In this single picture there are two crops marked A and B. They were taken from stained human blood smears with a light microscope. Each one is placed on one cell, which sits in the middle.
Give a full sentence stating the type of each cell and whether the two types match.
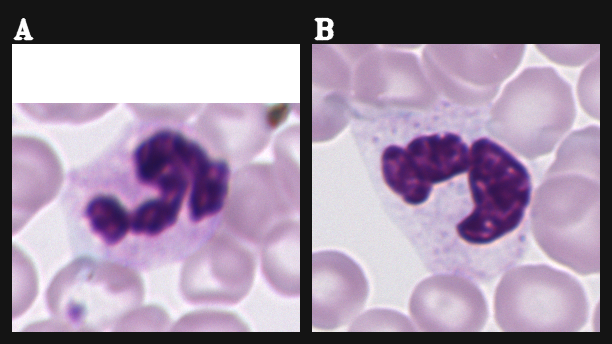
Yes, both crops show segmented neutrophils, to put it briefly.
